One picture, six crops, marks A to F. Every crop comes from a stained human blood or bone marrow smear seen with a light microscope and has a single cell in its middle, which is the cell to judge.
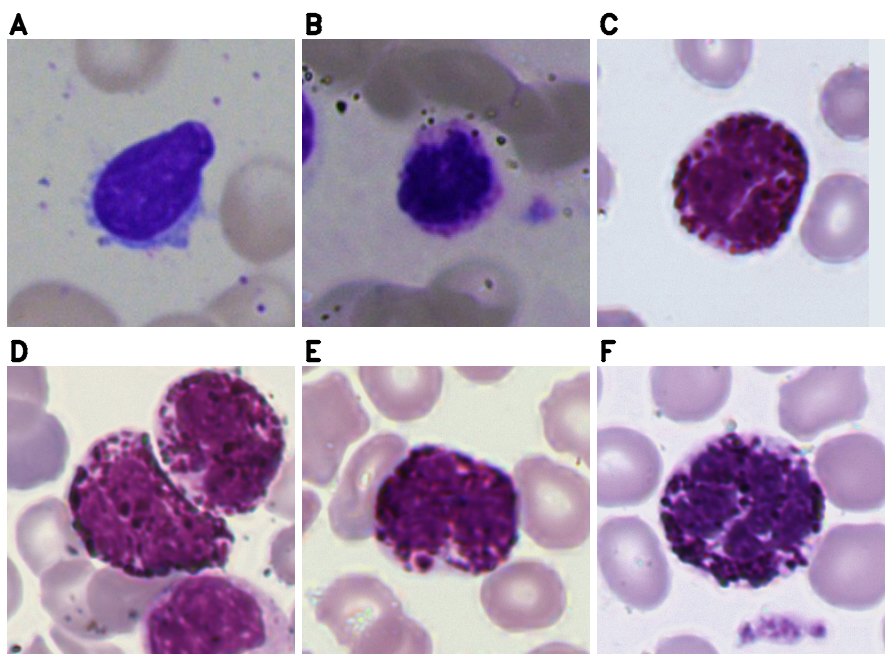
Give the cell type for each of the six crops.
A: lymphocyte
B: basophil
C: basophil
D: basophil
E: basophil
F: basophil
